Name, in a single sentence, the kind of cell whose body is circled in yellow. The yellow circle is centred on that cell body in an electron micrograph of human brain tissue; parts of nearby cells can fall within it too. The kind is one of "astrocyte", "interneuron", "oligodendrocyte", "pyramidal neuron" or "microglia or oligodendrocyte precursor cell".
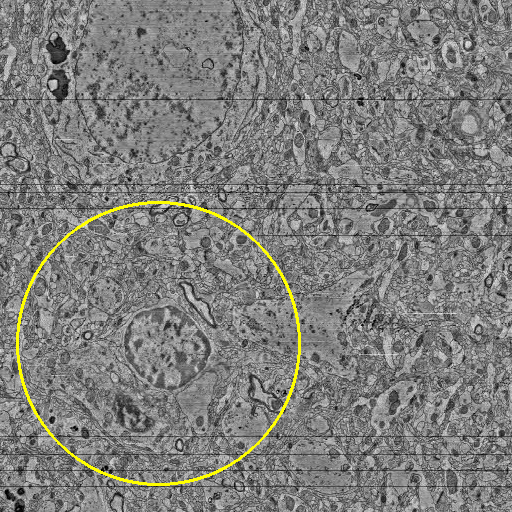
The circled cell body belongs to a microglial cell or oligodendrocyte precursor cell.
